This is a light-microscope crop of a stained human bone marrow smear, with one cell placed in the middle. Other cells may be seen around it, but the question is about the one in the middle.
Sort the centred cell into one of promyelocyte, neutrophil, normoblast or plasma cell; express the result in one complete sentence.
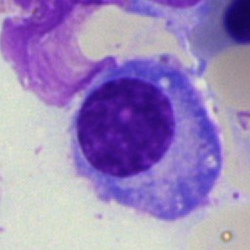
The cell positioned in the middle of the field is a plasma cell.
